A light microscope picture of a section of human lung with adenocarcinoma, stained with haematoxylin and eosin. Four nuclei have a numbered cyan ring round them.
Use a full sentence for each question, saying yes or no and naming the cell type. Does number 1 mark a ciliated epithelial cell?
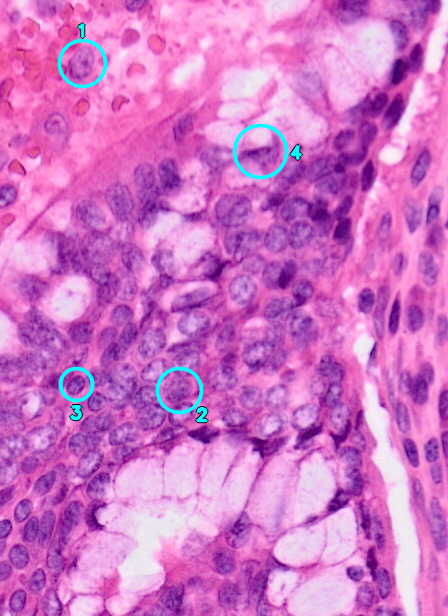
No, the cell at marker 1 is not a ciliated epithelial cell; it is a macrophage or monocyte.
